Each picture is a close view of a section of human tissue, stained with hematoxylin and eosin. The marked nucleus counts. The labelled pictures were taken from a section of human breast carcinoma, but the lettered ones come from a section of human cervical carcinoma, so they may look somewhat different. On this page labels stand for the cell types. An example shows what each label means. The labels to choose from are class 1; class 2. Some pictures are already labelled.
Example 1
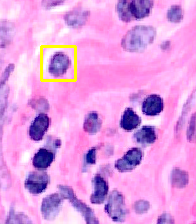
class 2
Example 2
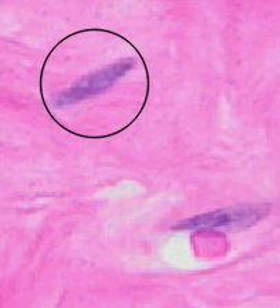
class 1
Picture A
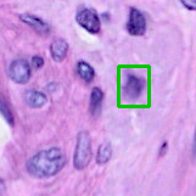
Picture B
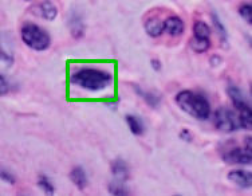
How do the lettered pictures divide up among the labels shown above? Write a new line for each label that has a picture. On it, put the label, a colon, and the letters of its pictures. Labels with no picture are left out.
class 1: A
class 2: B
